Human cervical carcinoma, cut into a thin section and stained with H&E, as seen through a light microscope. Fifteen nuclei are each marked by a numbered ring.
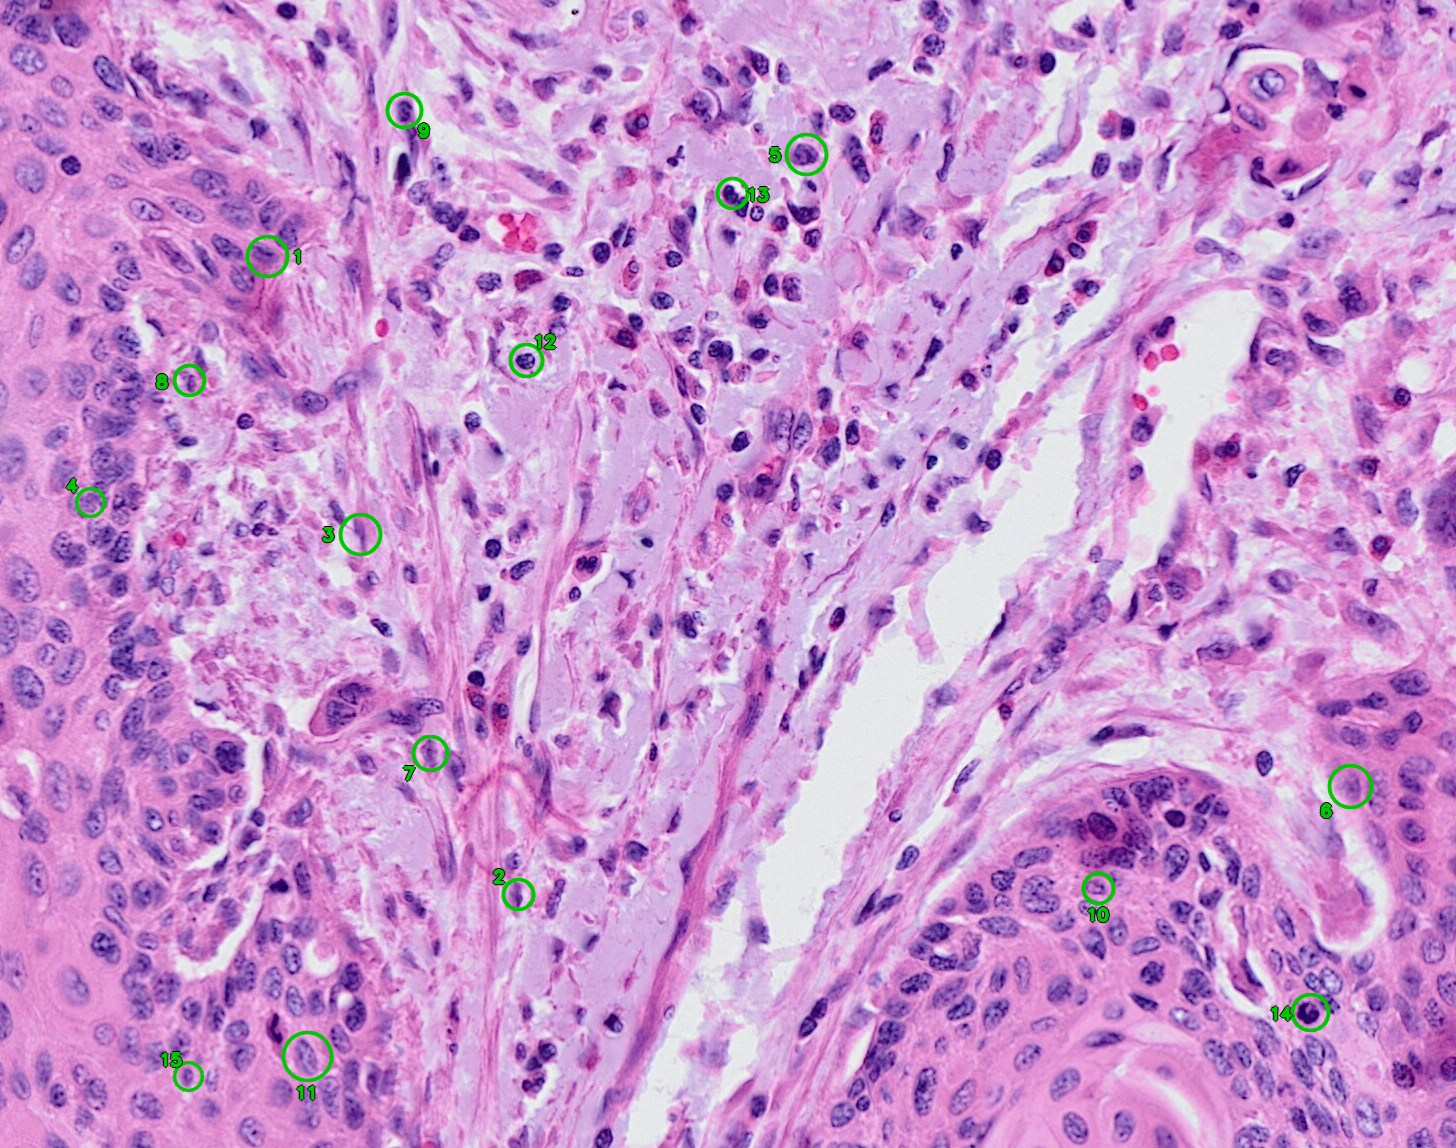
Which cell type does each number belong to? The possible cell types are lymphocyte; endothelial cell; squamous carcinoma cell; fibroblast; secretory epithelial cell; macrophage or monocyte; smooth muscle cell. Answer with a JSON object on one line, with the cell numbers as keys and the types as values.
{"1": "squamous carcinoma cell", "2": "fibroblast", "3": "fibroblast", "4": "squamous carcinoma cell", "5": "lymphocyte", "6": "squamous carcinoma cell", "7": "fibroblast", "8": "fibroblast", "9": "lymphocyte", "10": "squamous carcinoma cell", "11": "squamous carcinoma cell", "12": "lymphocyte", "13": "lymphocyte", "14": "squamous carcinoma cell", "15": "squamous carcinoma cell"}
